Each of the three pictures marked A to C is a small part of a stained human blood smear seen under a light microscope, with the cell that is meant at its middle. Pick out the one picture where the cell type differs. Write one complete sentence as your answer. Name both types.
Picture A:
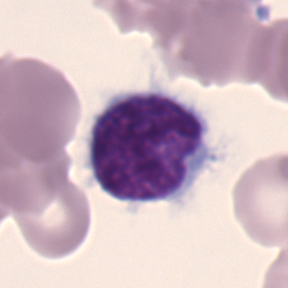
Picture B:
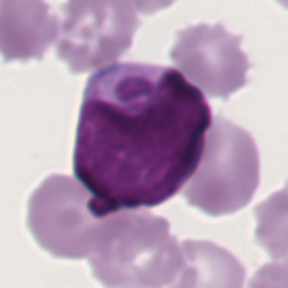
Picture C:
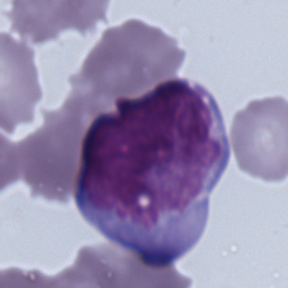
The different one is picture A; it shows a hairy cell, whereas all the others show myeloblasts.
